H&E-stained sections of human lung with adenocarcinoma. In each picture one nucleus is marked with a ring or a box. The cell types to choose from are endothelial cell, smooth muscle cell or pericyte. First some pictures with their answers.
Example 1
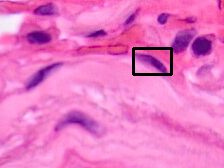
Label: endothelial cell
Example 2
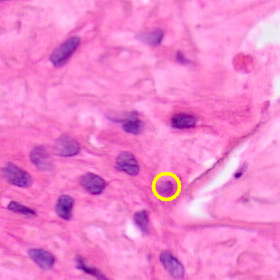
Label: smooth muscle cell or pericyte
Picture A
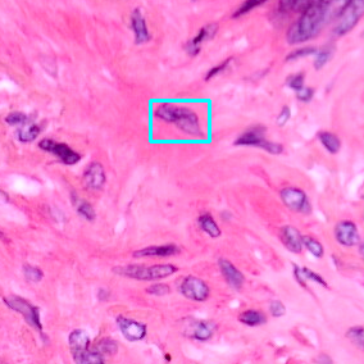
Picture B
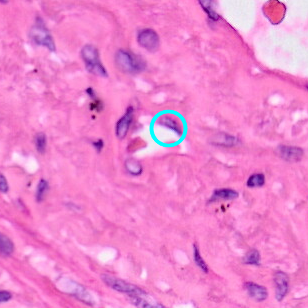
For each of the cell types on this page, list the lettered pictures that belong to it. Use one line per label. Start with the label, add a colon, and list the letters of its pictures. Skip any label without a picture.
endothelial cell: B
smooth muscle cell or pericyte: A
